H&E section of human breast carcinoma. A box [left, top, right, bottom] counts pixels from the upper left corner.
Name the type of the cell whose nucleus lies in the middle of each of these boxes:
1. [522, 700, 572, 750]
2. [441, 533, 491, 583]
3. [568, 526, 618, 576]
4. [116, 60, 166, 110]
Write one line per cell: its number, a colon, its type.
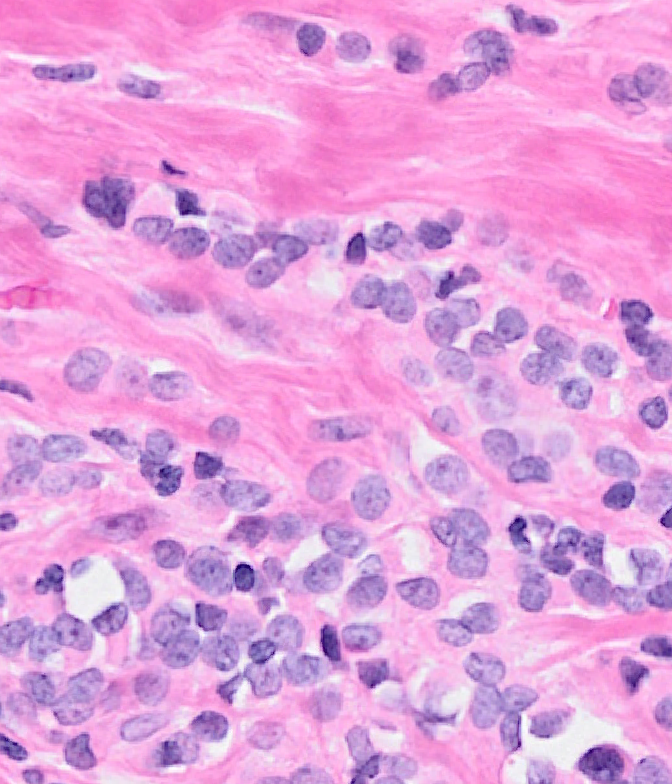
1: carcinoma cell
2: carcinoma cell
3: carcinoma cell
4: fibroblast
